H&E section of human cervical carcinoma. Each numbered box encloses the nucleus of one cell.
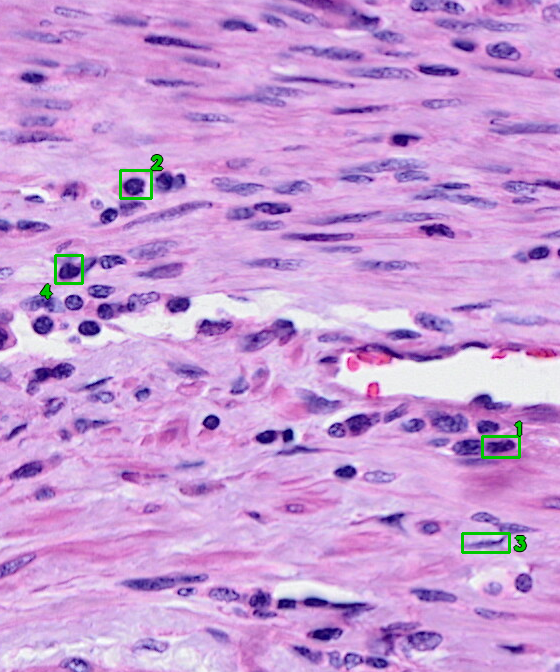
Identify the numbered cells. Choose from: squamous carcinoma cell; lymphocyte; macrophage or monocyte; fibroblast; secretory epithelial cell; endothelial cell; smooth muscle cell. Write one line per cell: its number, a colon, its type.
1: lymphocyte
2: lymphocyte
3: fibroblast
4: lymphocyte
